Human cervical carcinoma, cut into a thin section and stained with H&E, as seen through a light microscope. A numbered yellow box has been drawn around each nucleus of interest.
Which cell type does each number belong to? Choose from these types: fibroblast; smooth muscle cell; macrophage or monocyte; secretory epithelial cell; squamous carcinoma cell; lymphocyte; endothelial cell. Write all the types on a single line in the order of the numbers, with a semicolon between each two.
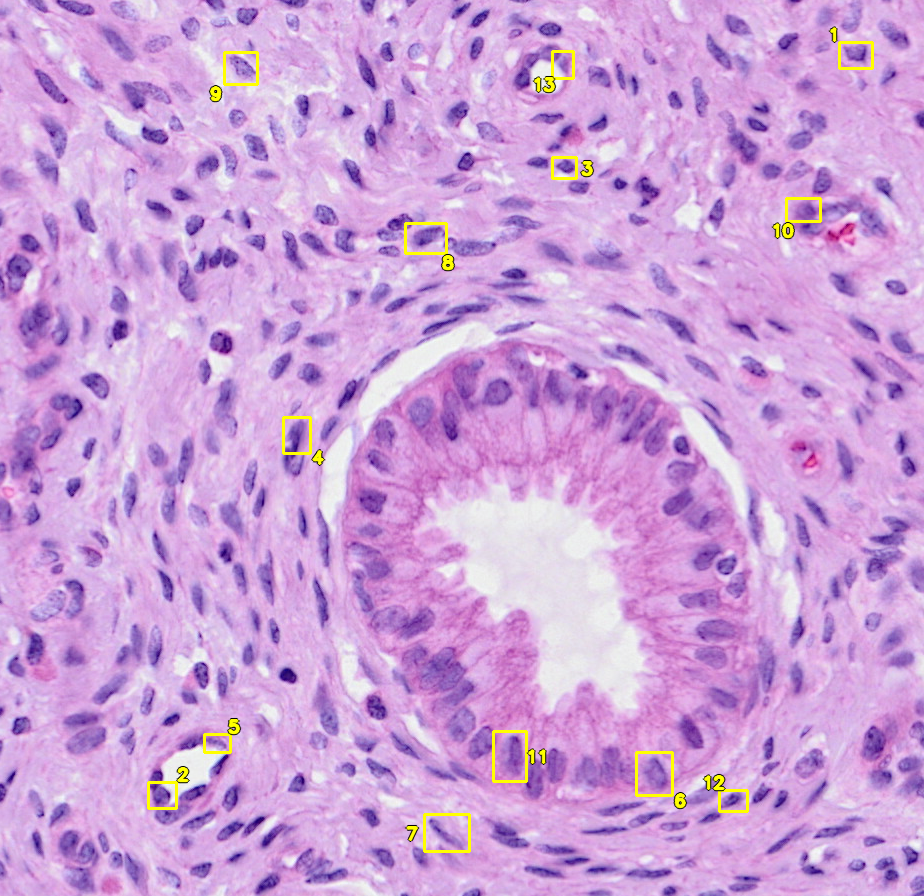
fibroblast; endothelial cell; fibroblast; fibroblast; endothelial cell; secretory epithelial cell; fibroblast; fibroblast; fibroblast; endothelial cell; secretory epithelial cell; fibroblast; endothelial cell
